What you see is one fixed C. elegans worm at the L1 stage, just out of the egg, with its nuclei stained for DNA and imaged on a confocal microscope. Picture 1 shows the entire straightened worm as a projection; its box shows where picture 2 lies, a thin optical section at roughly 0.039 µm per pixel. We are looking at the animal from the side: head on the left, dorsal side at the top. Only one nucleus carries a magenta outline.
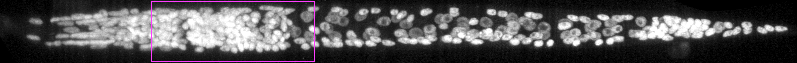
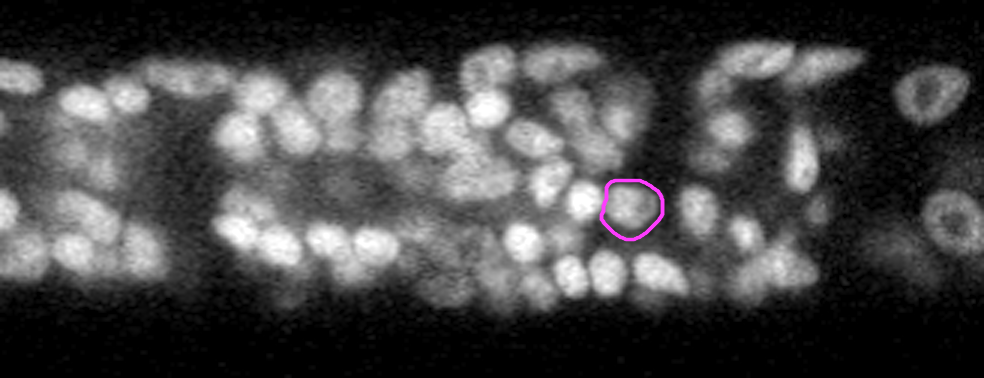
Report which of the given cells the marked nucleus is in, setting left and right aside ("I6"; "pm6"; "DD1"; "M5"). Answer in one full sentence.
It belongs to pm6, a pharyngeal muscle cell.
